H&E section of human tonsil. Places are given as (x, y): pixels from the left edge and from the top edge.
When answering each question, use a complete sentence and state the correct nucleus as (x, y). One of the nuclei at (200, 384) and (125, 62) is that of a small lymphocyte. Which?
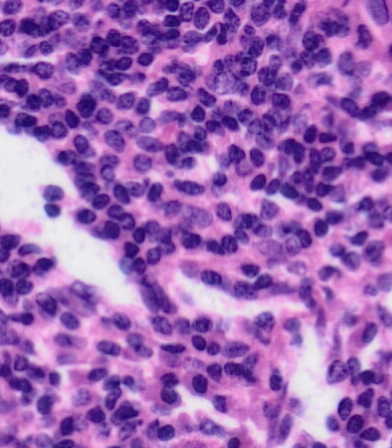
At (125, 62) lies the nucleus that belongs to a small lymphocyte.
